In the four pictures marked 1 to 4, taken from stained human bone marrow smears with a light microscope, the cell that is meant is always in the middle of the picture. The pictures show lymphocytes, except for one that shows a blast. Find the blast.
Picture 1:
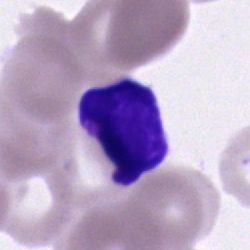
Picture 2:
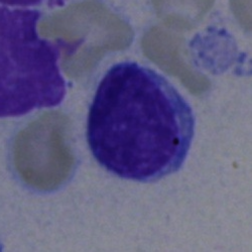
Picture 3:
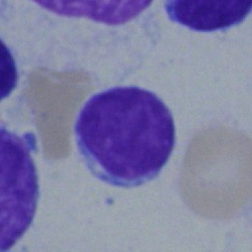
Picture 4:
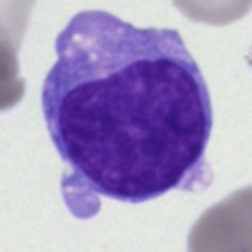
4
